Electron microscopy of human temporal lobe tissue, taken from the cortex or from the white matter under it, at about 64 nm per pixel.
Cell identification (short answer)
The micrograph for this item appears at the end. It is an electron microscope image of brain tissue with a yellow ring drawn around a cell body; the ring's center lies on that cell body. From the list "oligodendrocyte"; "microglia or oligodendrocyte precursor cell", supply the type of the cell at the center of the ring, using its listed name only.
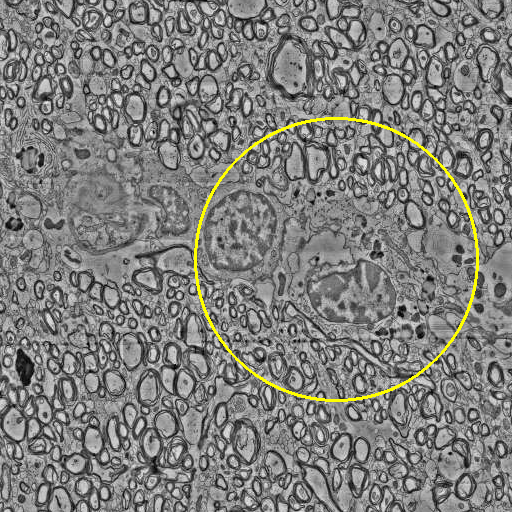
microglia or oligodendrocyte precursor cell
